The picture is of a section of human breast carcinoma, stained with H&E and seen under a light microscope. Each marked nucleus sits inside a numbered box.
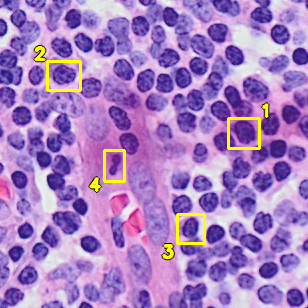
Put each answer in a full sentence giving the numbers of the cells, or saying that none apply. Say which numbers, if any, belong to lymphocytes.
The cells that the numbers 1, 2 and 3 belong to are lymphocytes.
